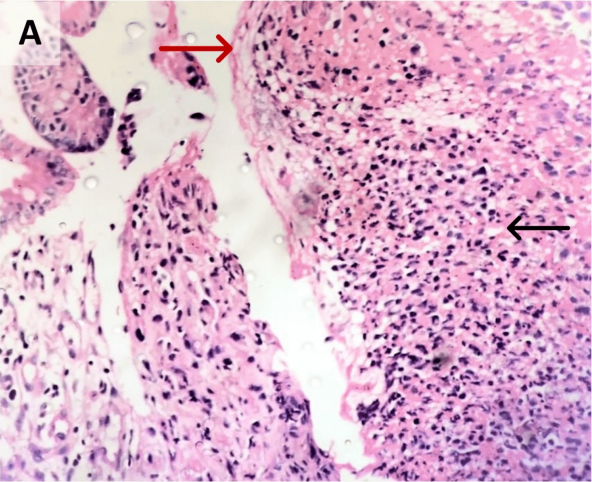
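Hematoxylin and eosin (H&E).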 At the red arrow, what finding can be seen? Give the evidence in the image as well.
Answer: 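The red arrow points to the tissue surface facing an empty space. No intact lining epithelium covers the surface where the arrow points. A pale pink, smudgy layer lies along the surface. The answer: surface ulceration.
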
